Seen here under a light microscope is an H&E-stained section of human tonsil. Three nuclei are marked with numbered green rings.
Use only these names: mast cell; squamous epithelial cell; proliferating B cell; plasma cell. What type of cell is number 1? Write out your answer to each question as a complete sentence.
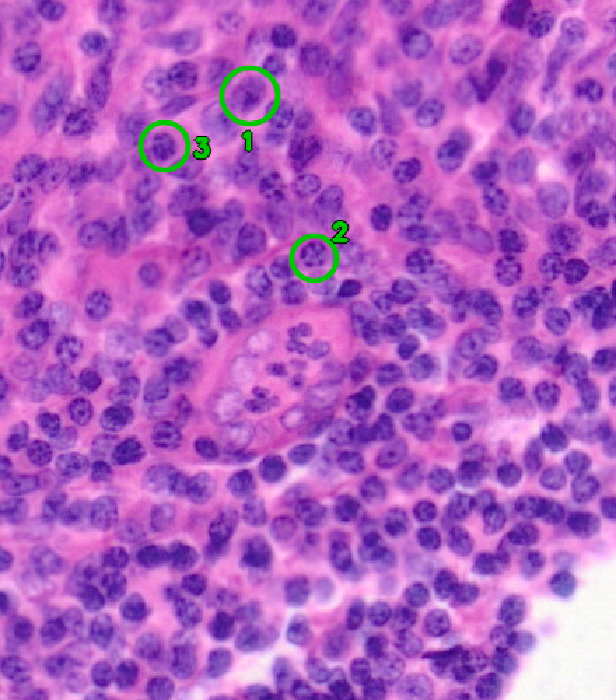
Denoted by the label 1 in the section is a squamous epithelial cell.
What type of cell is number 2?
The nucleus marked 2 is the nucleus of a plasma cell.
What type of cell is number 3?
The nucleus labelled 3 belongs to a plasma cell.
